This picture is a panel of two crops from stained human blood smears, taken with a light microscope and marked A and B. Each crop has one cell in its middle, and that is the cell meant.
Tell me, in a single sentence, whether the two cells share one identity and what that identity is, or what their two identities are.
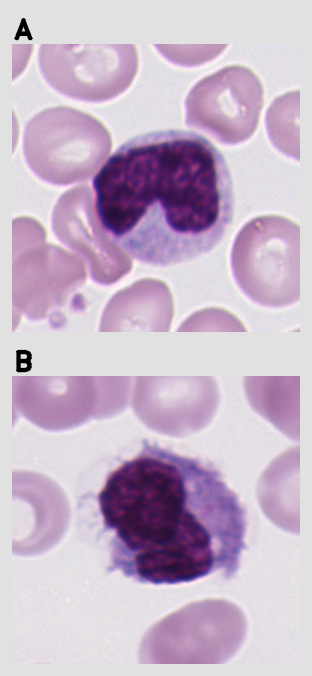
No, a band neutrophil is the subject of crop A, and a monocyte is the subject of crop B.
